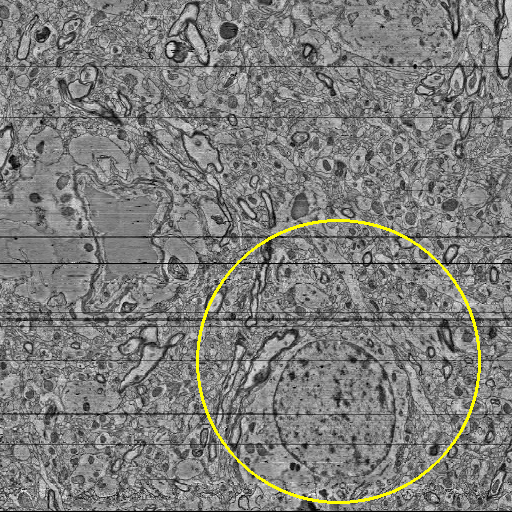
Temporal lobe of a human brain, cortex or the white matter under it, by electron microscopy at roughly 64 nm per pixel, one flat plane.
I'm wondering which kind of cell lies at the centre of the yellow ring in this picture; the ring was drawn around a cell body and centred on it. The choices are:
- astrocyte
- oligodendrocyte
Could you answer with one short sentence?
At the centre of the ring lies an astrocyte.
